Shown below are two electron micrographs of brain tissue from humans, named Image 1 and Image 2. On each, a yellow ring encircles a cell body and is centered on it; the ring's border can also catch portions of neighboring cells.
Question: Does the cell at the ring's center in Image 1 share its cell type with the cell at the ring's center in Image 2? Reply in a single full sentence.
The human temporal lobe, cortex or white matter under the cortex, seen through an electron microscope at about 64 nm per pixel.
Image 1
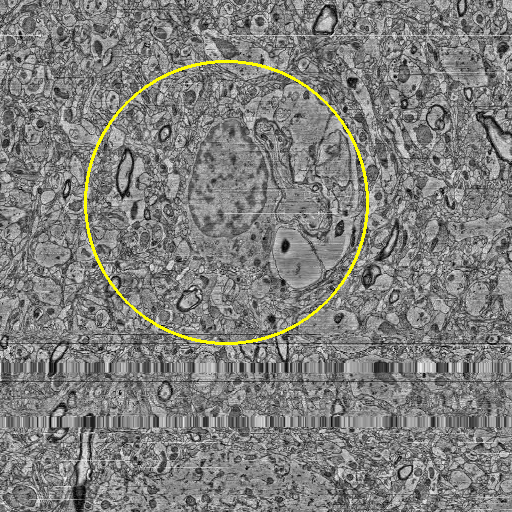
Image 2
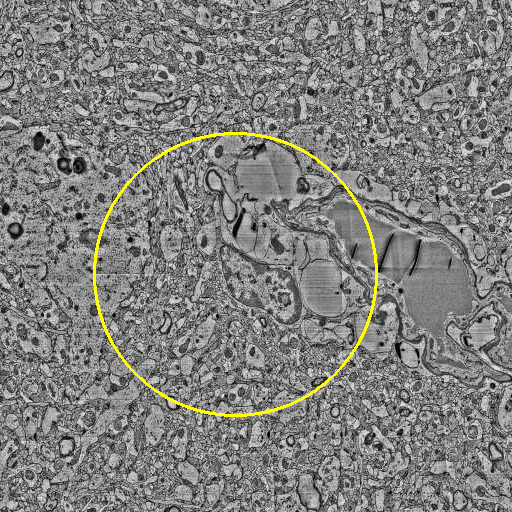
No, the two cells at the ring centers, in Image 1 and Image 2, are of two cell types.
